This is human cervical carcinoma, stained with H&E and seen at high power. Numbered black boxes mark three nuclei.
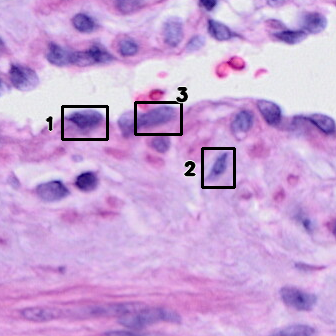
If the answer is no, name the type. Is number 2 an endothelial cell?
No, it is a fibroblast.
